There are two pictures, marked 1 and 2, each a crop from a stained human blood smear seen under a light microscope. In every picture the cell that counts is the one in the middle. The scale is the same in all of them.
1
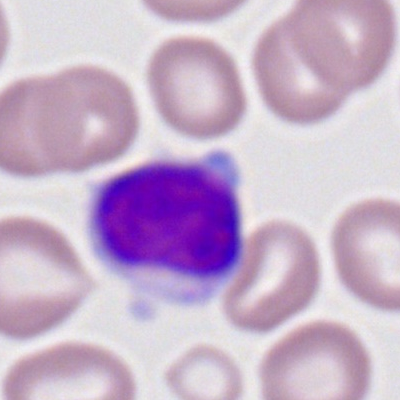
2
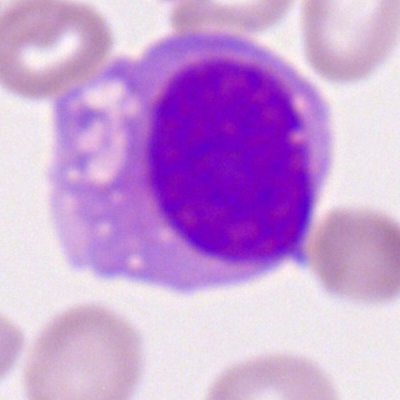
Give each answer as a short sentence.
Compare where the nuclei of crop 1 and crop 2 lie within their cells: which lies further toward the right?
It is the nucleus in crop 2 that lies further toward the right of its cell.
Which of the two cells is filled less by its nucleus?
Of the two, the nucleus in crop 2 leaves more room for cytoplasm.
